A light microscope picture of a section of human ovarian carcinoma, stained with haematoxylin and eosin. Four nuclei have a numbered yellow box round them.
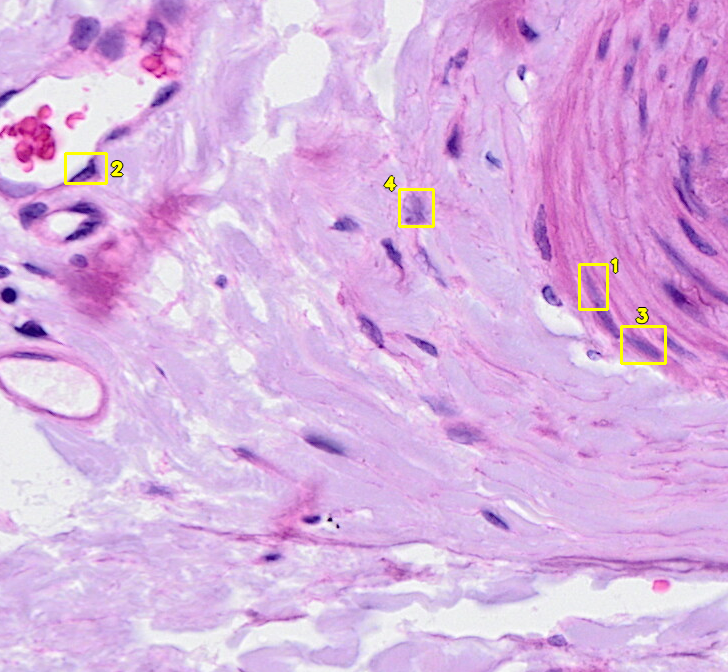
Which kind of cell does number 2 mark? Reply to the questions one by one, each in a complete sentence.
The cell bearing label 2 corresponds to an endothelial cell.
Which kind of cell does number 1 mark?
Cell 1, as marked in the section, is a smooth muscle cell.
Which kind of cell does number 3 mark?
Cell 3 in the field is a smooth muscle cell.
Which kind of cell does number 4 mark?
That cell with number 4 is a fibroblast.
